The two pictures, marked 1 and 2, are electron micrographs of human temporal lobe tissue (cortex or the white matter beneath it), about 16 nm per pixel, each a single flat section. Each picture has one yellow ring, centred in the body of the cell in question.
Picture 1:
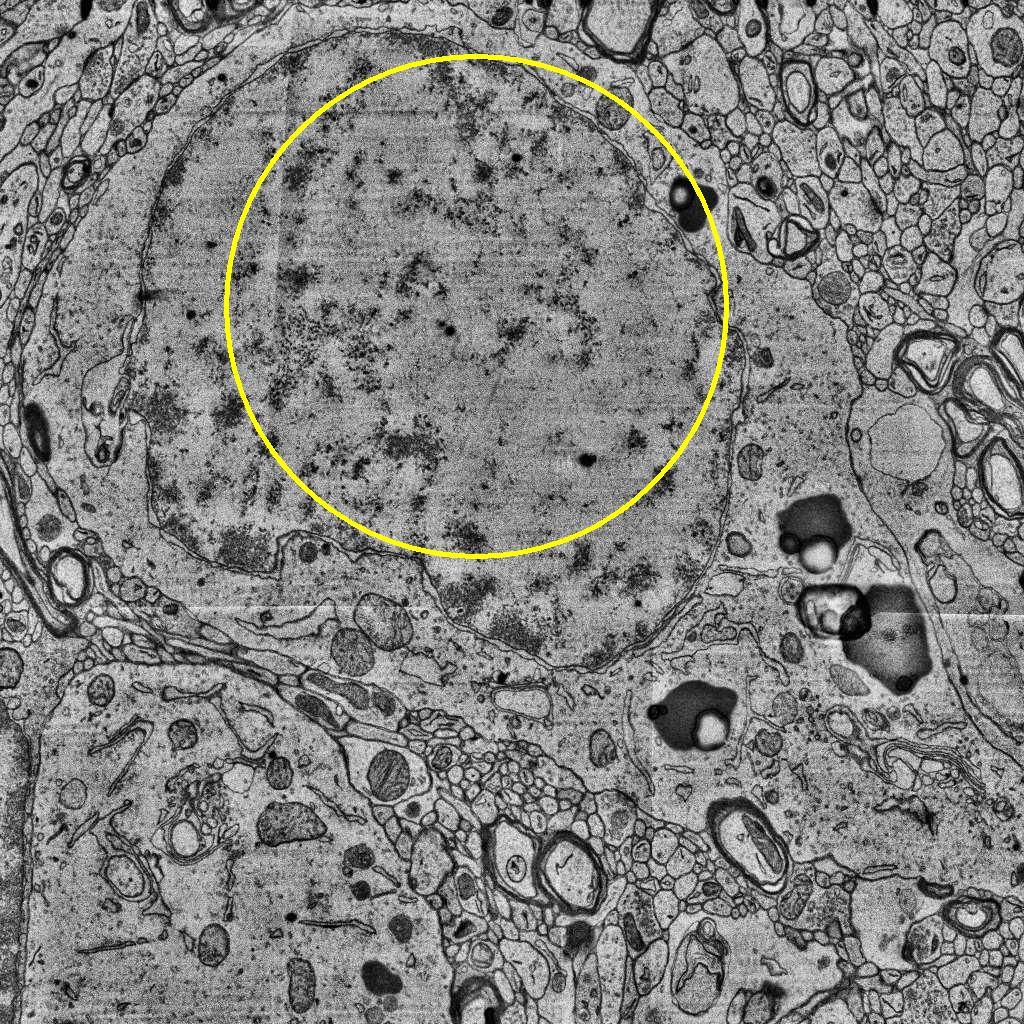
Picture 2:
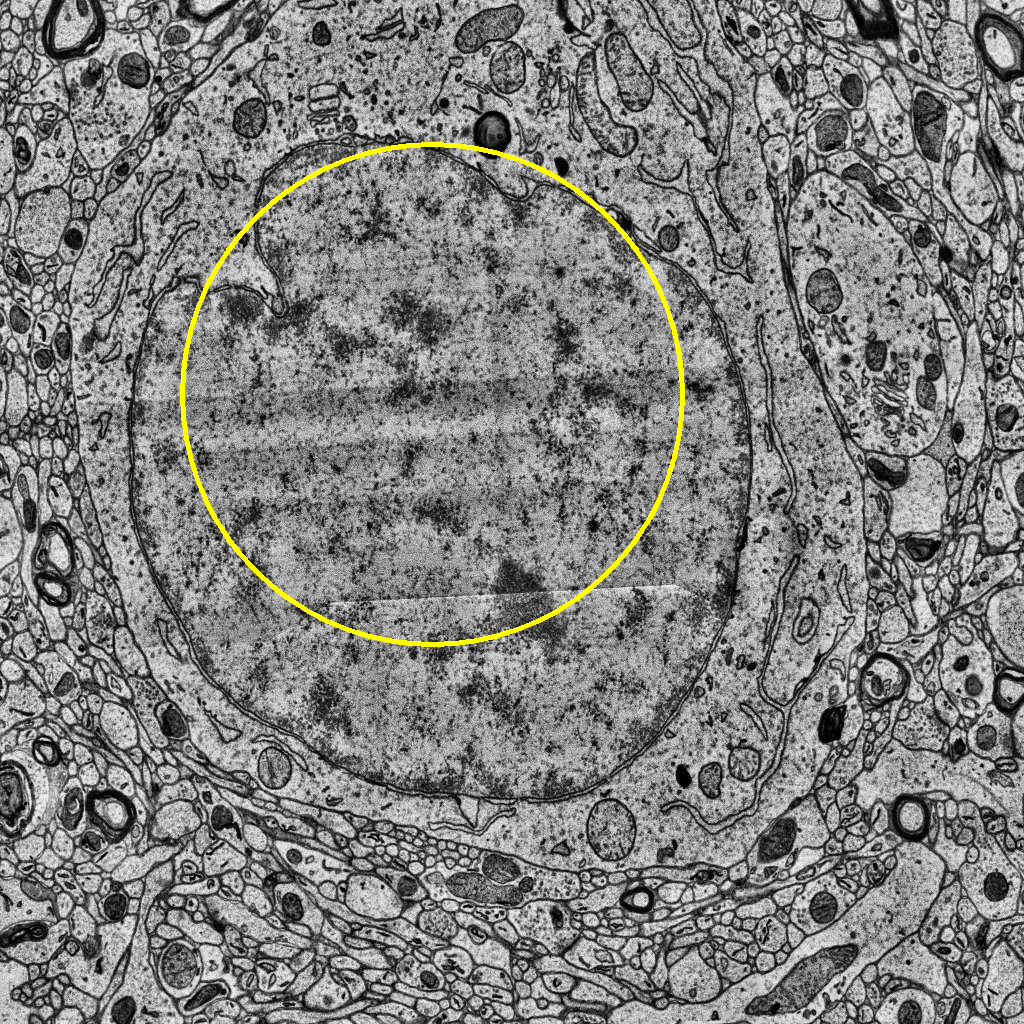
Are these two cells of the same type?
Yes, both are interneurons.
